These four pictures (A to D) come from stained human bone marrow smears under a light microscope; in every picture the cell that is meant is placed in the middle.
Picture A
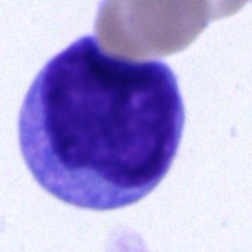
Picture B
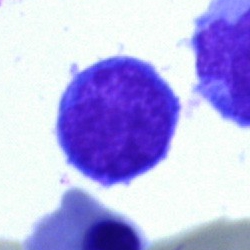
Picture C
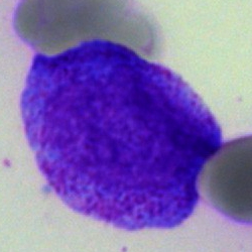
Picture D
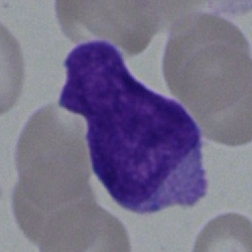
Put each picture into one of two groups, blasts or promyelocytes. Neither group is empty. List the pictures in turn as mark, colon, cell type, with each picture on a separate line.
A: blast
B: blast
C: promyelocyte
D: blast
